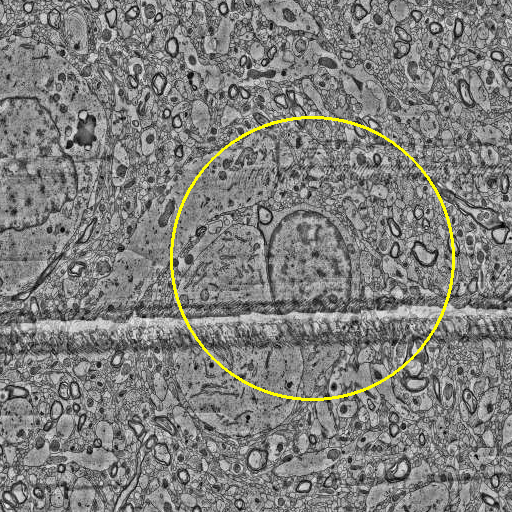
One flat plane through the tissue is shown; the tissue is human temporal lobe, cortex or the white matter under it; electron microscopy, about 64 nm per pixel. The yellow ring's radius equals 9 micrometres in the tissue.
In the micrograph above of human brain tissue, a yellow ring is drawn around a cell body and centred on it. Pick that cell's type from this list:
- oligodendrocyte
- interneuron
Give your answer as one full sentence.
Going by the list, an oligodendrocyte is the cell on which the yellow ring is centred.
